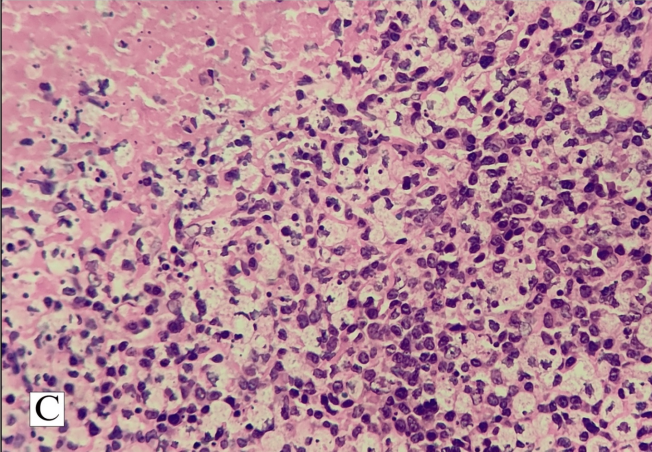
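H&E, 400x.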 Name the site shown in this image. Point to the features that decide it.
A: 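The upper left corner is pale pink and poor in intact cells. The rest of the field is densely cellular with intact nuclei. Dark nuclear fragments lie along the border between the two areas.
Answer: Interface between necrosed and viable area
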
